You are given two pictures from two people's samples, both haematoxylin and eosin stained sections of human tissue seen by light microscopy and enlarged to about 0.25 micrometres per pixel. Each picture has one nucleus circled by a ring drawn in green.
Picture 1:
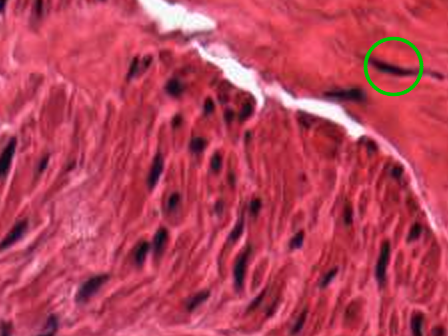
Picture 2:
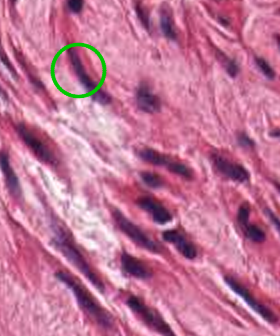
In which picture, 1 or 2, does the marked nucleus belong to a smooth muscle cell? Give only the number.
2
